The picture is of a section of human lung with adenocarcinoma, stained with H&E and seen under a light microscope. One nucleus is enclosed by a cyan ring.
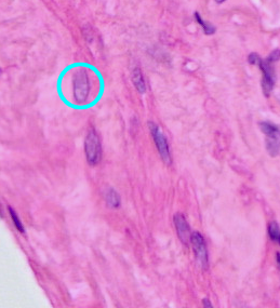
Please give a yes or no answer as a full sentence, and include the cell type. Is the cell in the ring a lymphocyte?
No, the cell in the ring is reported as a smooth muscle cell or pericyte rather than a lymphocyte.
